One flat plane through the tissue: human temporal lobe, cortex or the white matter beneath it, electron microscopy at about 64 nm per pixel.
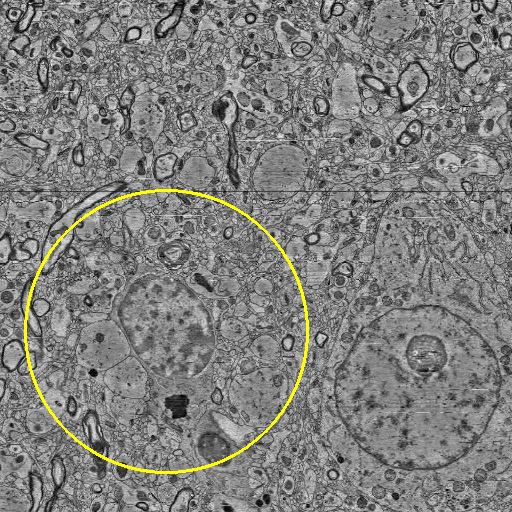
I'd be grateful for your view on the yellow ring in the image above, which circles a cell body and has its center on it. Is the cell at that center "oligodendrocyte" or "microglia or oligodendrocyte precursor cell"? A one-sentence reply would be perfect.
The cell at the center of the yellow ring is an oligodendrocyte.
